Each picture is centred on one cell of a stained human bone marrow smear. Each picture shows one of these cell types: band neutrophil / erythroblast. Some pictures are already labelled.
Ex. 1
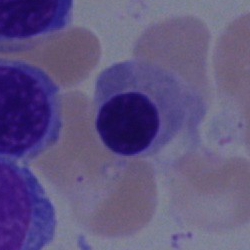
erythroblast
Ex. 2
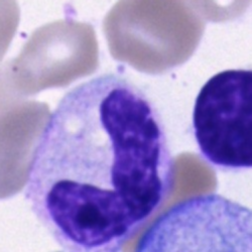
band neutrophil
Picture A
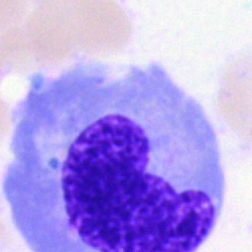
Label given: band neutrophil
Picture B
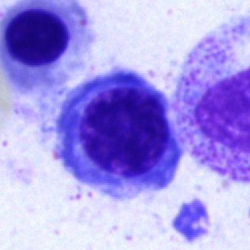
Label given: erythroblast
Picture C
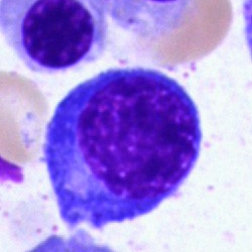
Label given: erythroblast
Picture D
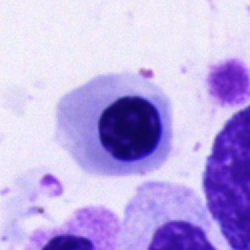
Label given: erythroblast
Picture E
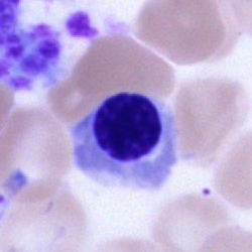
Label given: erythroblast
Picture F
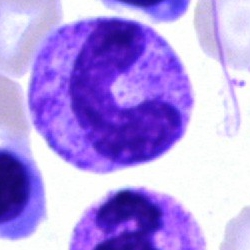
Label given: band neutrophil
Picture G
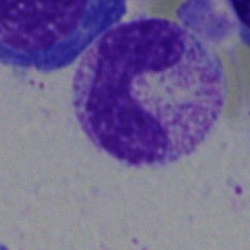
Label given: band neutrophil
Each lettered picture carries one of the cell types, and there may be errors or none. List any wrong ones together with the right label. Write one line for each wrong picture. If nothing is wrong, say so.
A: erythroblast, not band neutrophil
